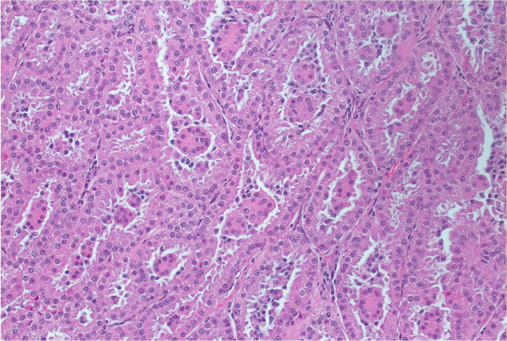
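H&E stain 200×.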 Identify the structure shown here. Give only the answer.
diffuse confluent tubular pattern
